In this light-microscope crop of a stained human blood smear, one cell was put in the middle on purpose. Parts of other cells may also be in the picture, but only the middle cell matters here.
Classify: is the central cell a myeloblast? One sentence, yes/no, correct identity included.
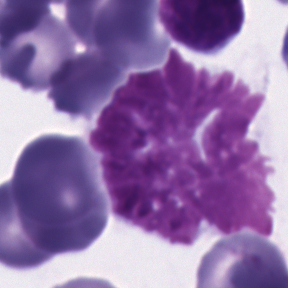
No, the cell under consideration is a smudge cell instead of a myeloblast.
